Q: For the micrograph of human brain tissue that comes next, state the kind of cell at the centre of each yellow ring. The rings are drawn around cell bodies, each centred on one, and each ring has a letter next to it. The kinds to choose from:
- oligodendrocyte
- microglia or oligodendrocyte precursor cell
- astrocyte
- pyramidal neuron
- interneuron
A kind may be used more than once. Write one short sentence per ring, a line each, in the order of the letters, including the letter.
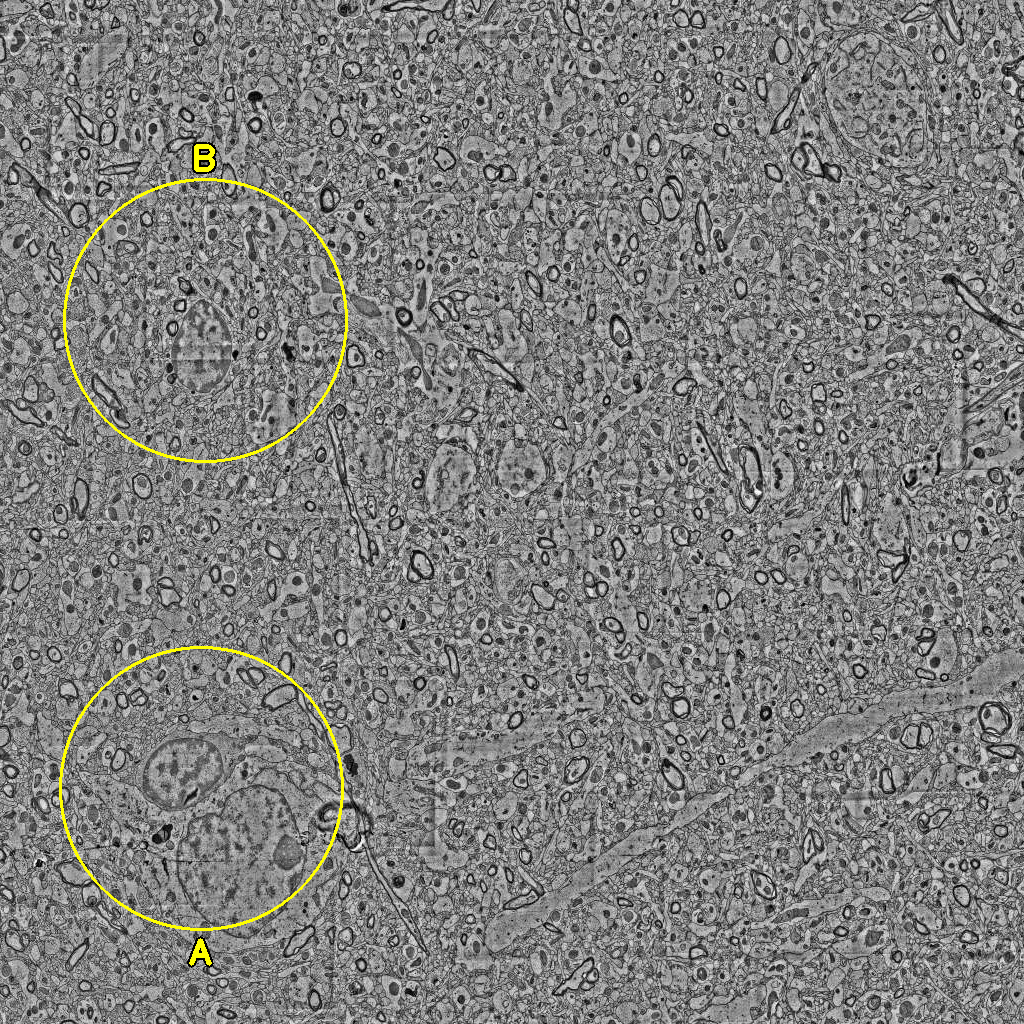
The cell ringed as A is an oligodendrocyte.
The cell ringed as B is a microglial cell or oligodendrocyte precursor cell.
